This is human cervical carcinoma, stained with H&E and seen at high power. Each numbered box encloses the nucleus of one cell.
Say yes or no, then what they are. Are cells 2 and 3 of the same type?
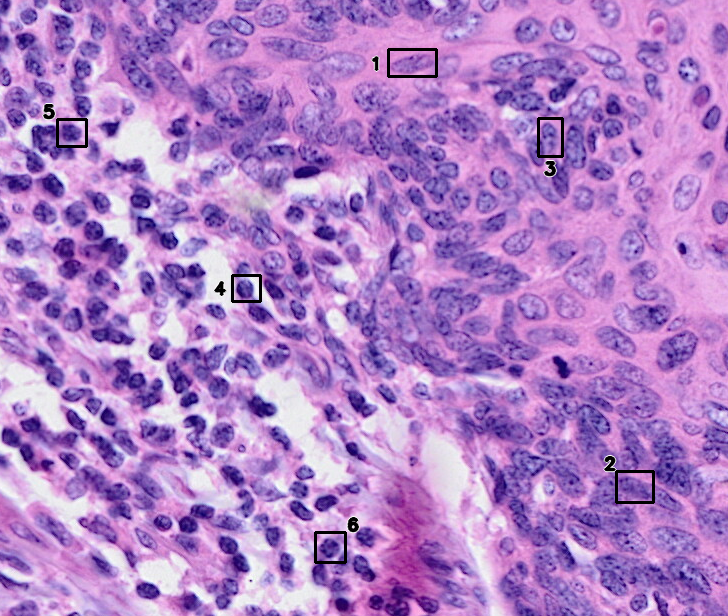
Yes, in this tissue section, cells 2 and 3 are both squamous carcinoma cells.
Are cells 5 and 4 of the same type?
Yes, by their numbers, cells 5 and 4 are both lymphocytes.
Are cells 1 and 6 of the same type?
No, cell 1 is a squamous carcinoma cell; cell 6 is a lymphocyte.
